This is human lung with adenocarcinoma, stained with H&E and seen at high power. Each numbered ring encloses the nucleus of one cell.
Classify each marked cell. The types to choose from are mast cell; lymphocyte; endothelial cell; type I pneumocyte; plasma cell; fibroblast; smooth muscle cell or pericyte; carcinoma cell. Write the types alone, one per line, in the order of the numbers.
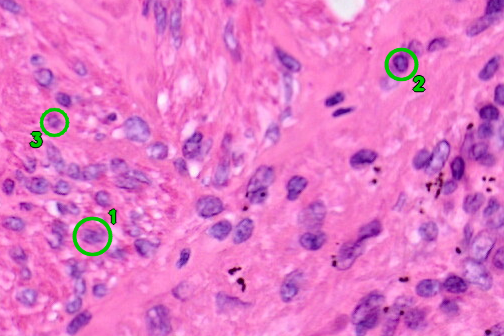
smooth muscle cell or pericyte
mast cell
smooth muscle cell or pericyte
